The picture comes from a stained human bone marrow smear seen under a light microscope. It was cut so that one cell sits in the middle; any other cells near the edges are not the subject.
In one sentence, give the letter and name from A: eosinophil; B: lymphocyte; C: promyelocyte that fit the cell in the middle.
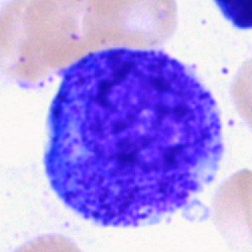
The cell at the centre is a promyelocyte, and option C accordingly is correct.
